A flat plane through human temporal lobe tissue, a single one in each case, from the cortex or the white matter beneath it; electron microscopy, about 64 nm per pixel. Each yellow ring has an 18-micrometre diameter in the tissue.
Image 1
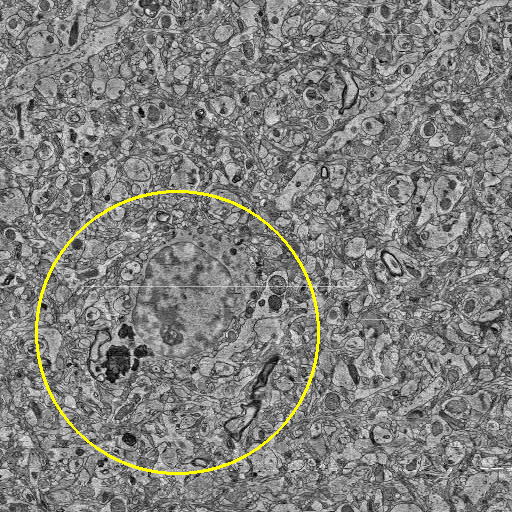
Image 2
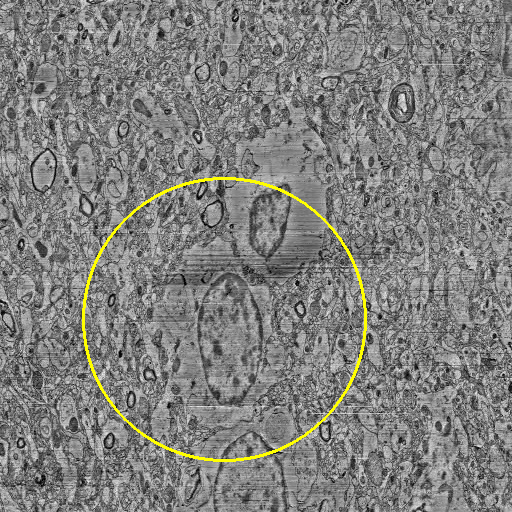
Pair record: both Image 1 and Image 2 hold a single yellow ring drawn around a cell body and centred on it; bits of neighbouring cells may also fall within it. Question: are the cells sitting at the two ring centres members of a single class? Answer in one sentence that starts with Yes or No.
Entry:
No, the ring-centre cells in Image 1 and Image 2 come from two classes.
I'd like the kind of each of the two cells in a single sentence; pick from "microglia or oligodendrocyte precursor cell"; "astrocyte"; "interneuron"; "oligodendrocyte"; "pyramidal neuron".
The first ring marks an oligodendrocyte, and the second ring marks an astrocyte.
